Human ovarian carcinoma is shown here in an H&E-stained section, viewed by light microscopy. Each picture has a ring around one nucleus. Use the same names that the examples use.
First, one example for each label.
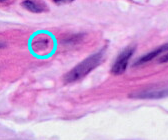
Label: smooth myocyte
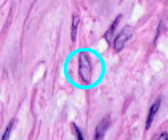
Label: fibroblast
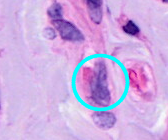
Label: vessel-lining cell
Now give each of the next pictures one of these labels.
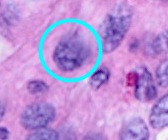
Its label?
fibroblast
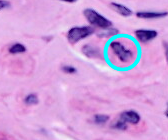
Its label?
vessel-lining cell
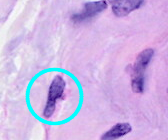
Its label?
fibroblast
